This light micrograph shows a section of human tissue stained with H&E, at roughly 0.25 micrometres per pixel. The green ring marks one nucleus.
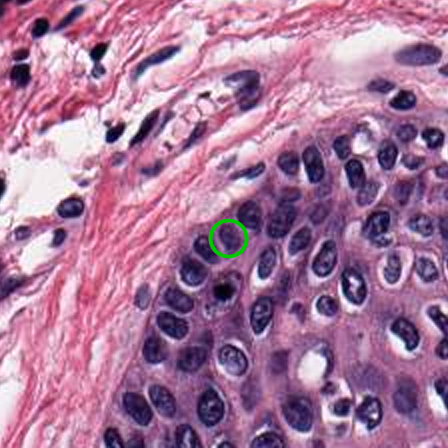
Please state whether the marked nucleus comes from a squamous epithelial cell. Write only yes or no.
yes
